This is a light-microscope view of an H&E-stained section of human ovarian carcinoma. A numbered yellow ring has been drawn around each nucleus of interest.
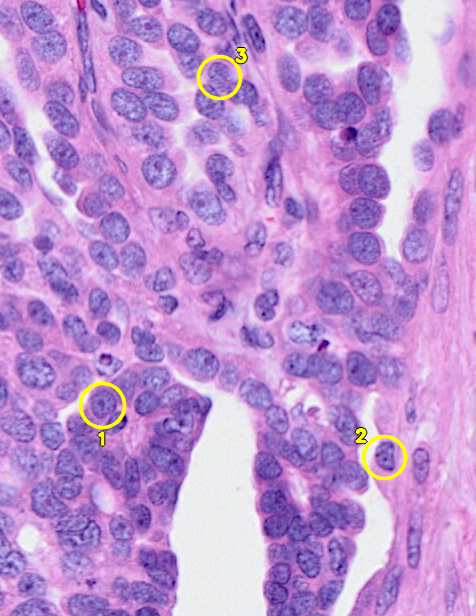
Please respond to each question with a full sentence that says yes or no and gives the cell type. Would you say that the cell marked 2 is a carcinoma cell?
No, the cell at marker 2 is not a carcinoma cell; it is a macrophage or monocyte.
